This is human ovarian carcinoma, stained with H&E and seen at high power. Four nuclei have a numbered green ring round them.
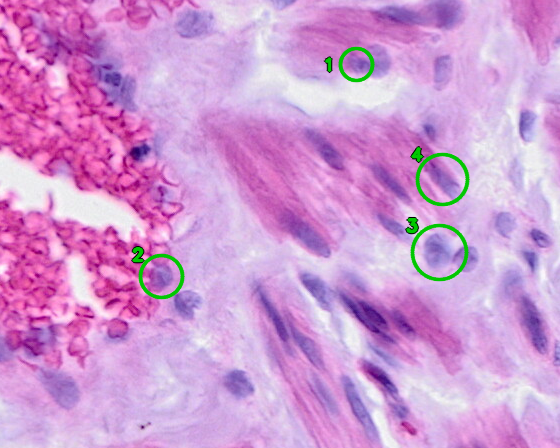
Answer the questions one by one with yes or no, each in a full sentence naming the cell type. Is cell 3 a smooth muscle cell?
No, what number 3 shows is a fibroblast, not a smooth muscle cell.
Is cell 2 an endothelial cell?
Yes, the cell labelled with number 2 is an endothelial cell.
